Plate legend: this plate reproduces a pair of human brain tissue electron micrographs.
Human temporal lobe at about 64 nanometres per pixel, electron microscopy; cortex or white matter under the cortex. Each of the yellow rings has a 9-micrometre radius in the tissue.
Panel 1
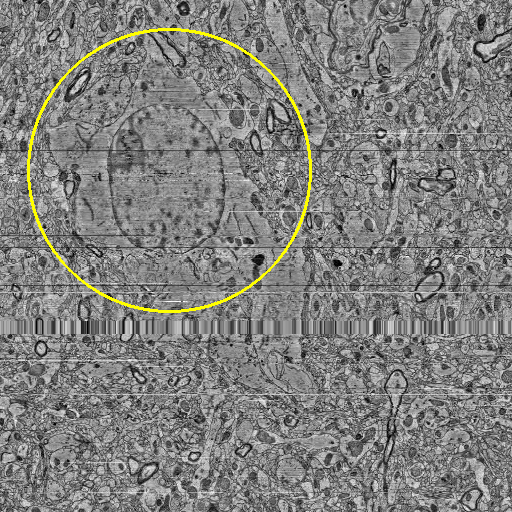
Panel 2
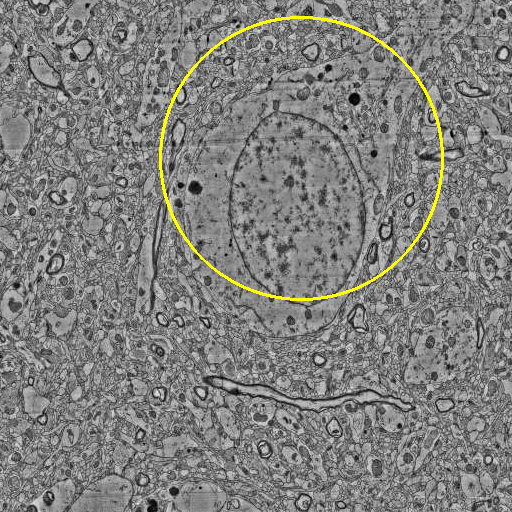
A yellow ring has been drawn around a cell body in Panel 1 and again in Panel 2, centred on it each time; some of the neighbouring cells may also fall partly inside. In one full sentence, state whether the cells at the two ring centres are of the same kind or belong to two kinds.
The ring-centred cells of Panel 1 and Panel 2 belong to two kinds.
